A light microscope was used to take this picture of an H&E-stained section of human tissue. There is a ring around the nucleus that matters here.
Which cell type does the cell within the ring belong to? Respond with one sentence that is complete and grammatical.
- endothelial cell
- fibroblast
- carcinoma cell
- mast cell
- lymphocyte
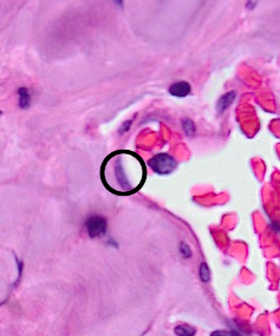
Speaking plainly, the cell within the ring is nothing other than an endothelial cell.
